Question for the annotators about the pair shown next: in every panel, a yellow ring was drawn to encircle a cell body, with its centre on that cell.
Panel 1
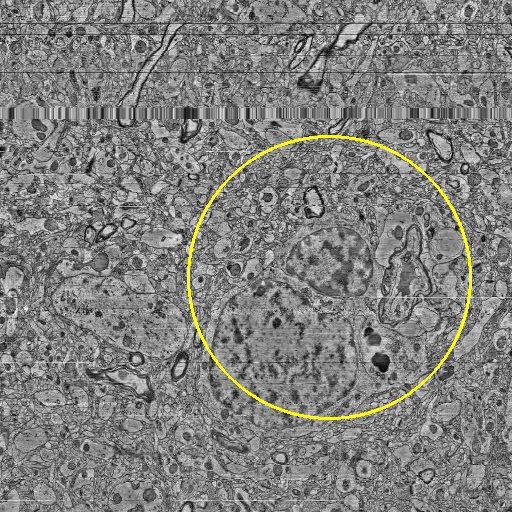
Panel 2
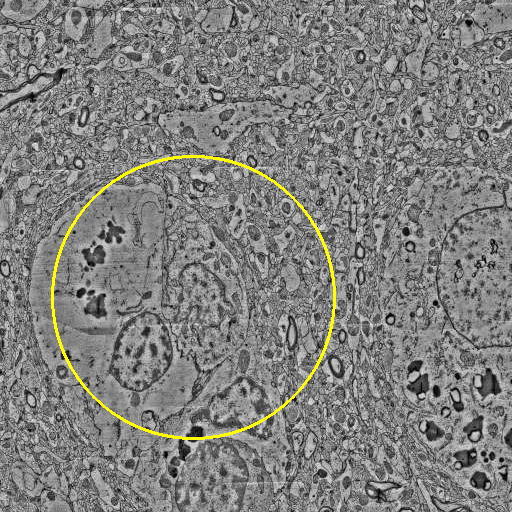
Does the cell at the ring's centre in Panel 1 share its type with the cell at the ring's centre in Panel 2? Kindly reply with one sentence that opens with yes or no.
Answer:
No, in Panels 1 and 2 the cells at the ring centres belong to separate types.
